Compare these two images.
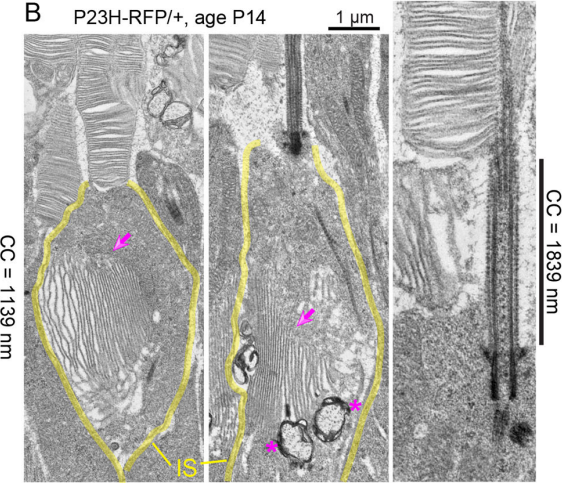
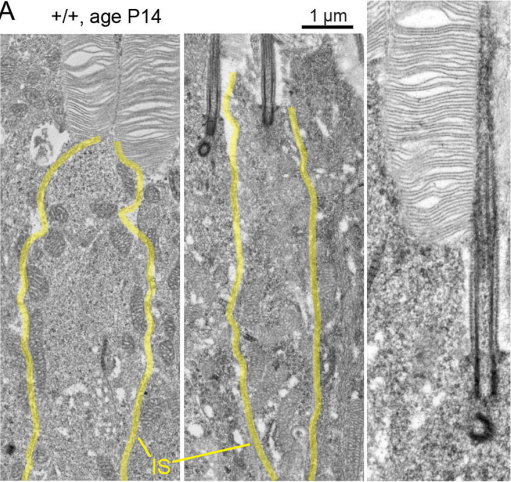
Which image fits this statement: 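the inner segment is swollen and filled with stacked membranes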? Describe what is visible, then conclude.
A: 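Second image: the outlined inner segments are narrow and contain granular cytoplasm with mitochondria. First image: the outlined inner segments are bulged and filled with parallel membrane stacks. On this evidence: the first image.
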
